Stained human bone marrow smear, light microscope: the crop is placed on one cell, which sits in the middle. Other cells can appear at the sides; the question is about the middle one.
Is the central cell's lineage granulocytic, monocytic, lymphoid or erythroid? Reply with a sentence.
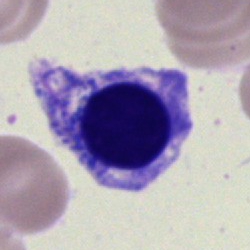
The cell sitting in the middle of this crop is of the erythroid line.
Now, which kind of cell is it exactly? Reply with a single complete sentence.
Framed in the middle of the crop is an erythroblast.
